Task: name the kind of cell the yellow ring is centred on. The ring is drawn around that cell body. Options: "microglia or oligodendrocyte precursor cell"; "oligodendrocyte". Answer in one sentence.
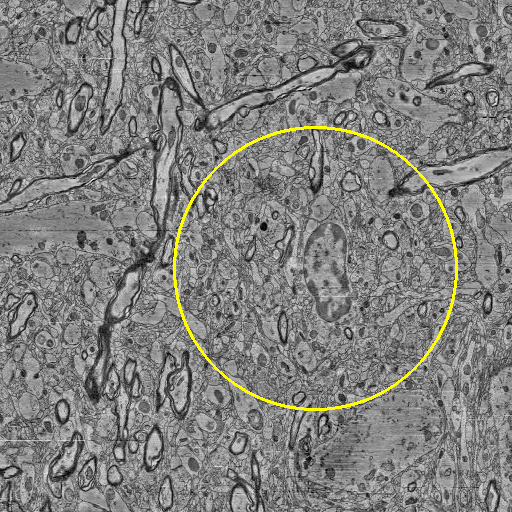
This cell body belongs to a microglial cell or oligodendrocyte precursor cell.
